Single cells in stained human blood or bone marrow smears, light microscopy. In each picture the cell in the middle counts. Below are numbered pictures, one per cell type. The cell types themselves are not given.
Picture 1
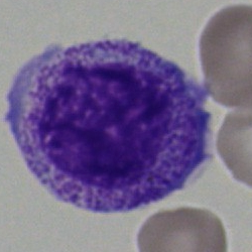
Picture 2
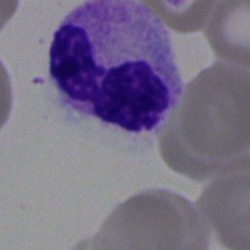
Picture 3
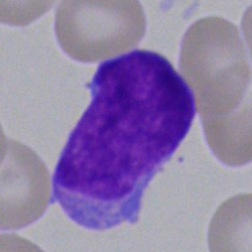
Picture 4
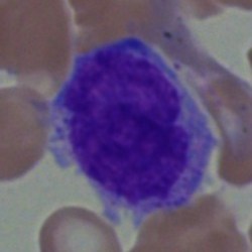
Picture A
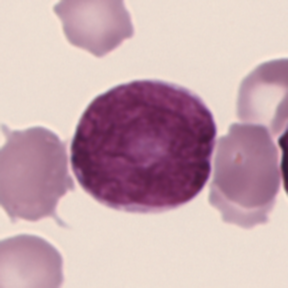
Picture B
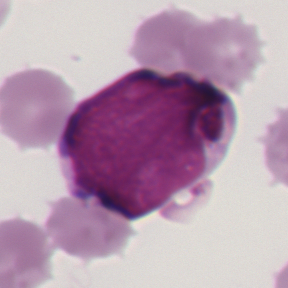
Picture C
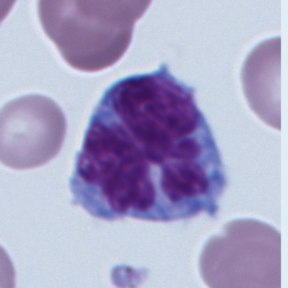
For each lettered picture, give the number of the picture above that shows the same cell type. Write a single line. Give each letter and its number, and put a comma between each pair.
A 3, B 3, C 3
